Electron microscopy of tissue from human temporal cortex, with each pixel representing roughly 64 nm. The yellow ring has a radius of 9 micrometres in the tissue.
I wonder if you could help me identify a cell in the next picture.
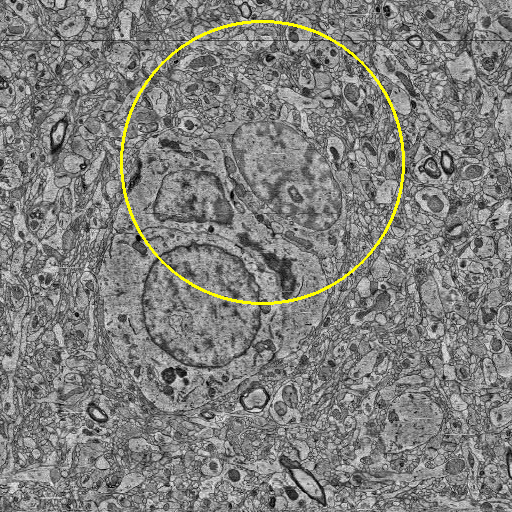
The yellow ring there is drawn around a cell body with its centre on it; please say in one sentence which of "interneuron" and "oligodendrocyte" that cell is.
The yellow ring is centred on an oligodendrocyte.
